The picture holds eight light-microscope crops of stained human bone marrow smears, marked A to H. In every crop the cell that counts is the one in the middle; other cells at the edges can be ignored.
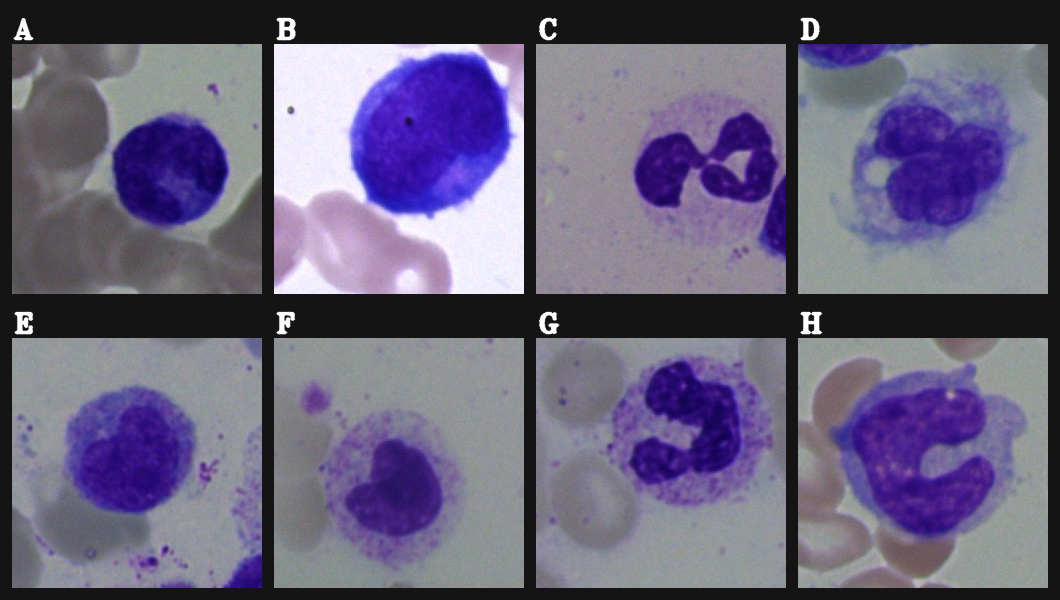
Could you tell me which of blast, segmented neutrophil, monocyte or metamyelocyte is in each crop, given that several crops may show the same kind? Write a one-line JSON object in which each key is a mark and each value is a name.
{"A": "monocyte", "B": "blast", "C": "segmented neutrophil", "D": "monocyte", "E": "metamyelocyte", "F": "metamyelocyte", "G": "segmented neutrophil", "H": "monocyte"}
